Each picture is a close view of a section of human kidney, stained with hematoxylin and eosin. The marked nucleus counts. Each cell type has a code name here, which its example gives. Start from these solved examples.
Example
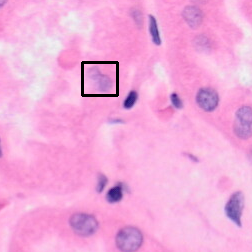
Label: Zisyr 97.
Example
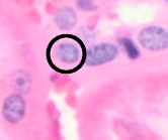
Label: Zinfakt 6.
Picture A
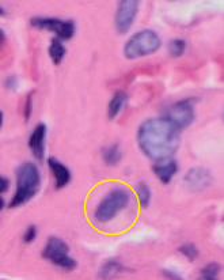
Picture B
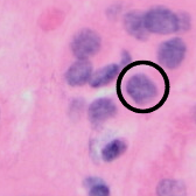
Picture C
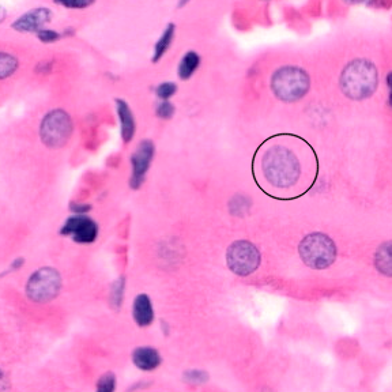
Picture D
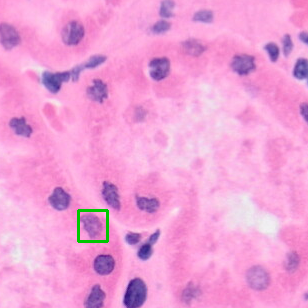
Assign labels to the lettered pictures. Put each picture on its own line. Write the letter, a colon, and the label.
A: Zinfakt 6.
B: Zinfakt 6.
C: Zisyr 97.
D: Zisyr 97.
